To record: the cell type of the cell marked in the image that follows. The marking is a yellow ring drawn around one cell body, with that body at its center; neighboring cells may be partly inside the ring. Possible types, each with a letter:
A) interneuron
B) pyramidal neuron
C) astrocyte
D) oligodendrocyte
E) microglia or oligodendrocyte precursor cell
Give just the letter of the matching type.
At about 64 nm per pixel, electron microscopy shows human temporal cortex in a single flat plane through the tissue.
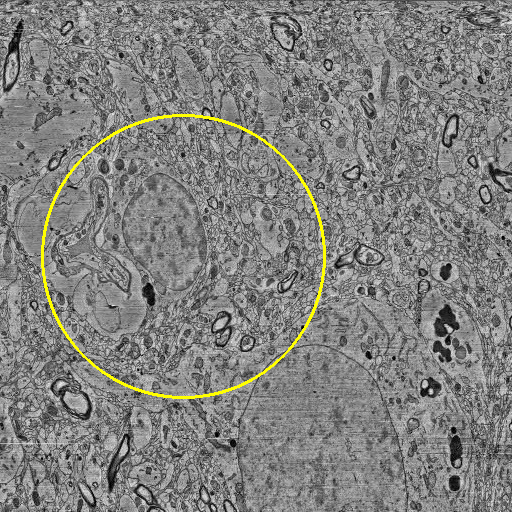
D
